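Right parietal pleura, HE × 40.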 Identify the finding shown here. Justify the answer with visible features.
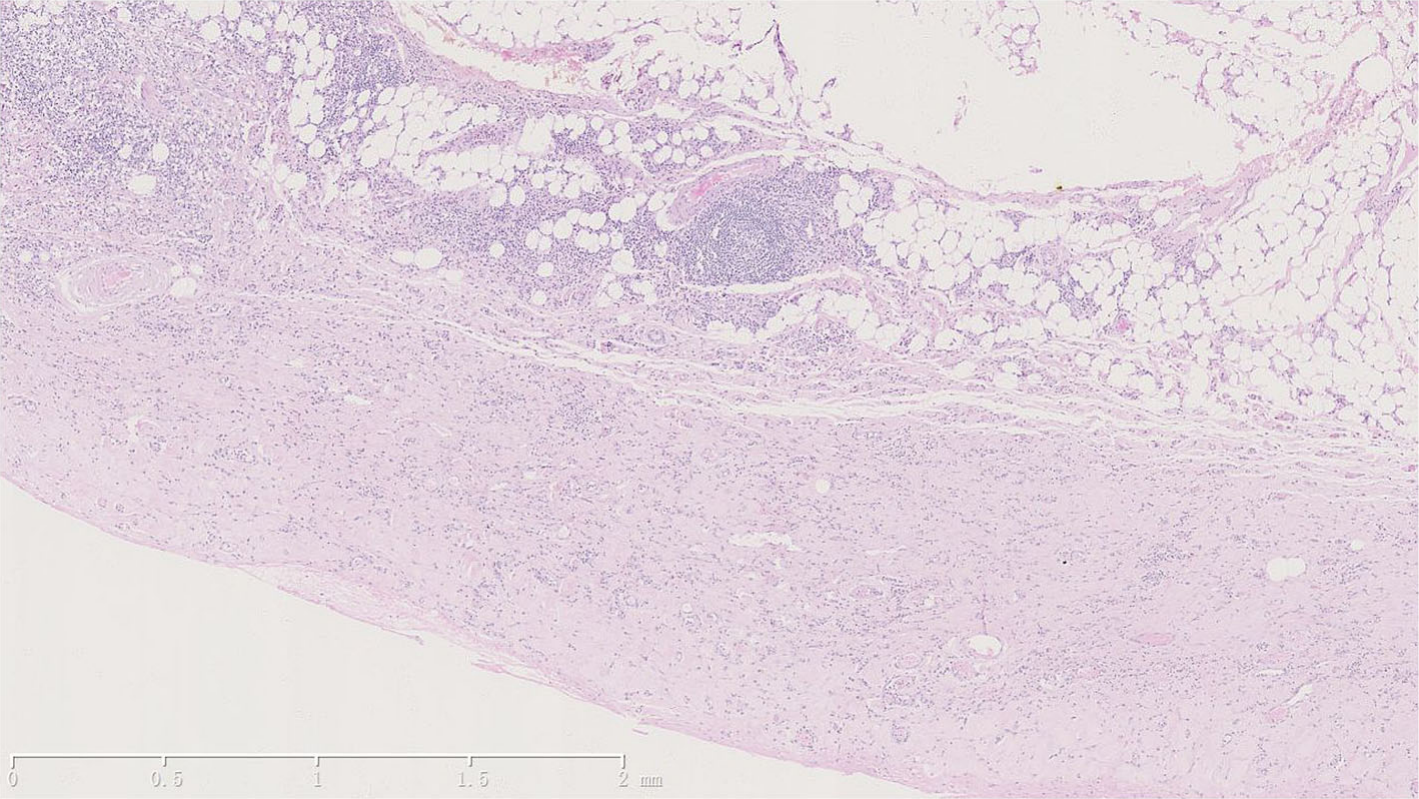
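Dense fibrosis. The lower broad band is pale pink, dense fibrous tissue with scattered small nuclei. This pink band runs along the whole length of the tissue edge.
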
